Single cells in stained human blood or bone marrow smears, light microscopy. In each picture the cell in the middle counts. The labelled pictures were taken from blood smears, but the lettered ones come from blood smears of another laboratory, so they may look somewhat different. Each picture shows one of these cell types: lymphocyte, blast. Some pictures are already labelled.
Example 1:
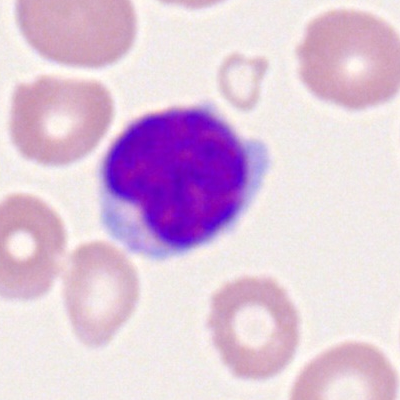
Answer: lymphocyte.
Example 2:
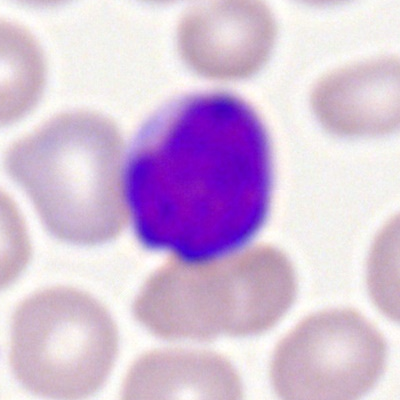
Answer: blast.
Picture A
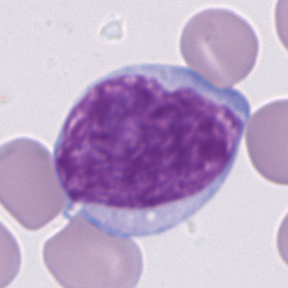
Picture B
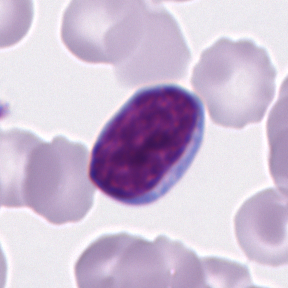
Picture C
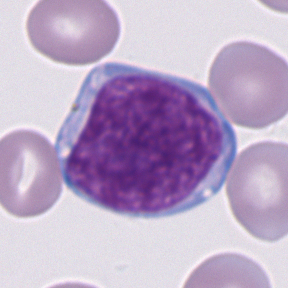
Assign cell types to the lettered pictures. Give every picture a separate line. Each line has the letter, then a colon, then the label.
A: blast.
B: lymphocyte.
C: blast.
